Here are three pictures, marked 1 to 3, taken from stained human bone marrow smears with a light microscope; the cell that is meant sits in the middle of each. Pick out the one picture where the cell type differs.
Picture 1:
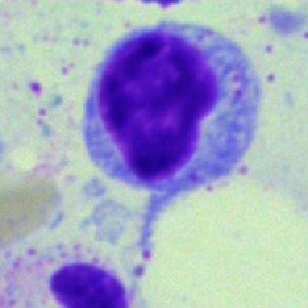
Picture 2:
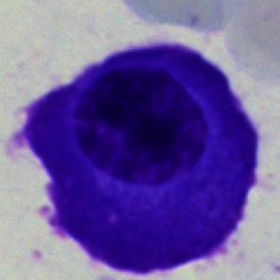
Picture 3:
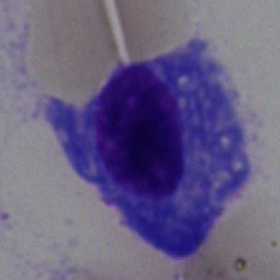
1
